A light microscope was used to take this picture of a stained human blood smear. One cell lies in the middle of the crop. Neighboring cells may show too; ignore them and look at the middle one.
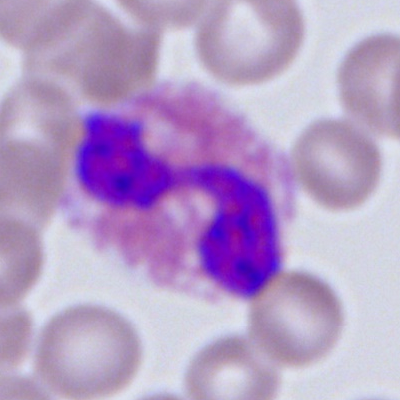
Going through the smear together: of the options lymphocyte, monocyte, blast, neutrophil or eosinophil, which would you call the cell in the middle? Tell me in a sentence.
At the center of the crop sits an eosinophil.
